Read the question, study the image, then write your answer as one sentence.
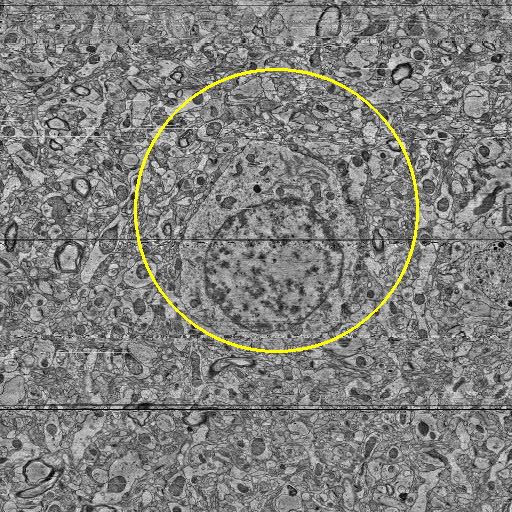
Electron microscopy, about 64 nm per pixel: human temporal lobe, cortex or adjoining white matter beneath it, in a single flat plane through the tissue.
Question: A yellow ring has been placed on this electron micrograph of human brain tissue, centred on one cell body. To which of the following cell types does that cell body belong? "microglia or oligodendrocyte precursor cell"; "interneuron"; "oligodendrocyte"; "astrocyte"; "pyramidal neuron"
That cell body belongs to an interneuron.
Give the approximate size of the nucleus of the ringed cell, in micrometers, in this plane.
The nucleus of the ringed cell is approximately 9 micrometres across in this plane.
